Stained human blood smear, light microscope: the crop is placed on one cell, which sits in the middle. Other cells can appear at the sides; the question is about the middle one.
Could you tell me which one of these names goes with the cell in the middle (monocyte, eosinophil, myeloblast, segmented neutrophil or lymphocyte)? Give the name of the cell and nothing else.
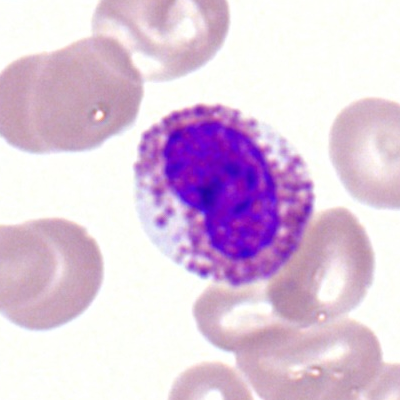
eosinophil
